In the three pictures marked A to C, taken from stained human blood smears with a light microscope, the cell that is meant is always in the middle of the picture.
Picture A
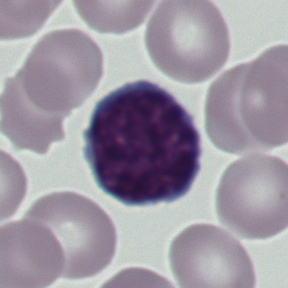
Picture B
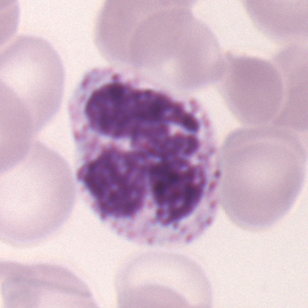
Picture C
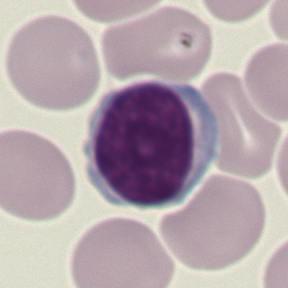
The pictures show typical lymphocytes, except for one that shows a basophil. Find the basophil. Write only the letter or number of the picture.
B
